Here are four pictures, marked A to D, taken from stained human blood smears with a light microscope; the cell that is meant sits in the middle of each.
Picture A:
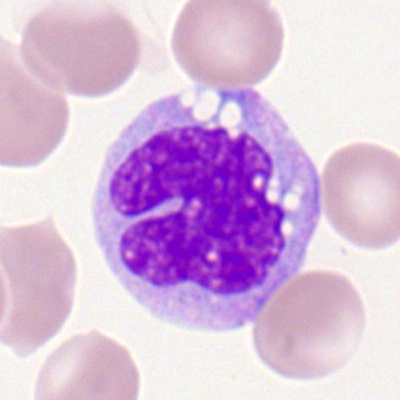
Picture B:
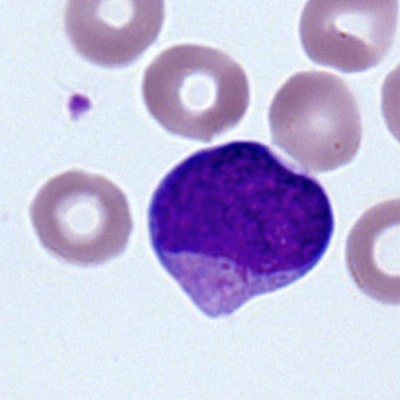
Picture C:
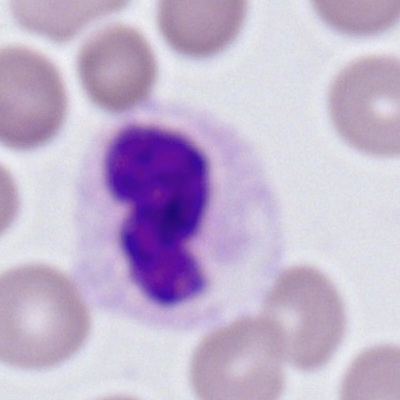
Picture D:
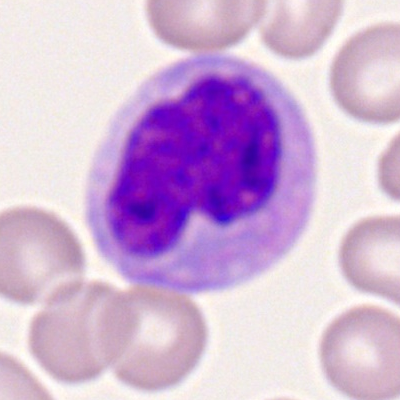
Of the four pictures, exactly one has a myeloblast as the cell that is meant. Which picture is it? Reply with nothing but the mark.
B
